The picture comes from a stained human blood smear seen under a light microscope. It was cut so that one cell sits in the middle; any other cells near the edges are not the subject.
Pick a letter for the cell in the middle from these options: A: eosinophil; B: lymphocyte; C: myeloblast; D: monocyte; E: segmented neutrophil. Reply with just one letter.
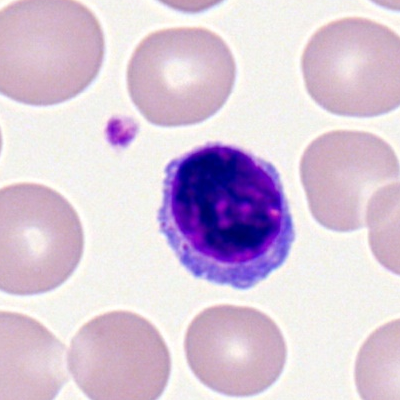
B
